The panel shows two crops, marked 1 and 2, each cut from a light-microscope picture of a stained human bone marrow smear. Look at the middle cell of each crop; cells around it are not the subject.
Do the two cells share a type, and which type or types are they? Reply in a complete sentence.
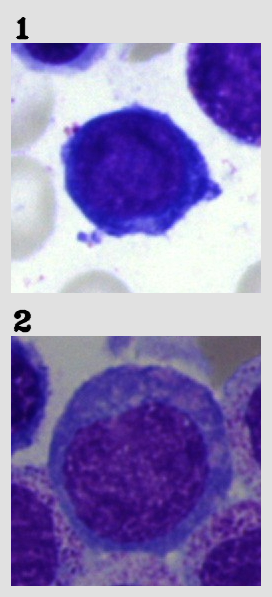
No, crop 1 carries a proerythroblast at its centre, and crop 2 carries a promyelocyte.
